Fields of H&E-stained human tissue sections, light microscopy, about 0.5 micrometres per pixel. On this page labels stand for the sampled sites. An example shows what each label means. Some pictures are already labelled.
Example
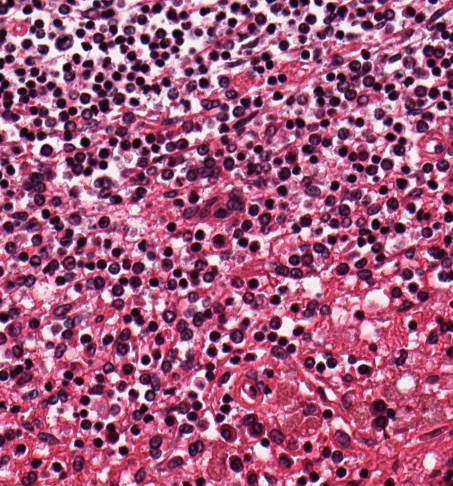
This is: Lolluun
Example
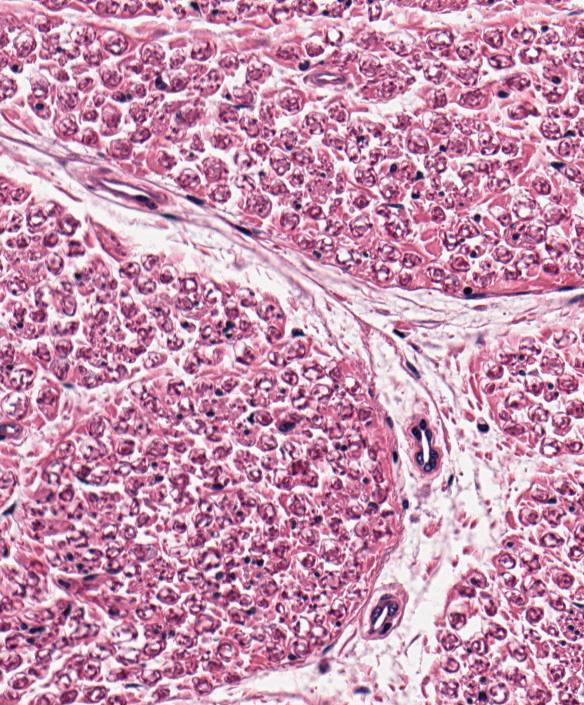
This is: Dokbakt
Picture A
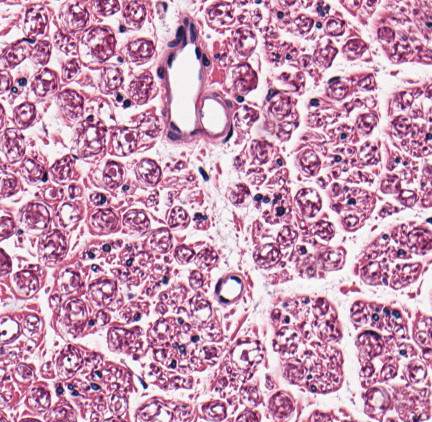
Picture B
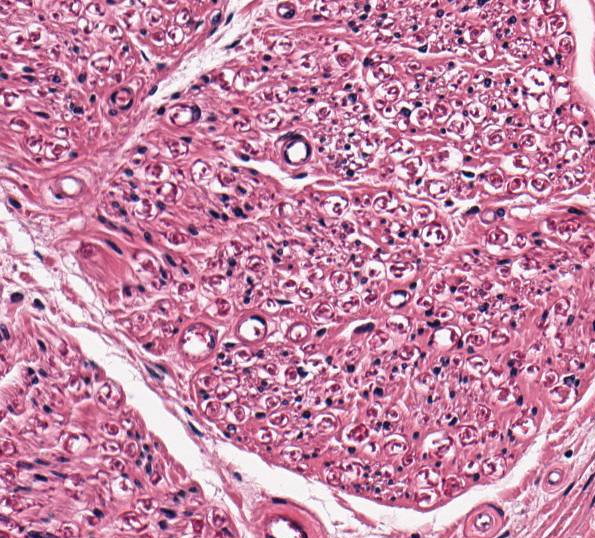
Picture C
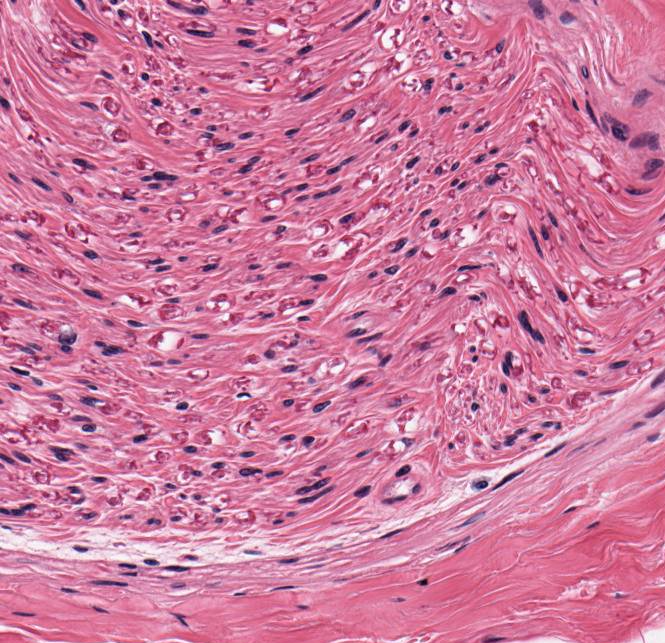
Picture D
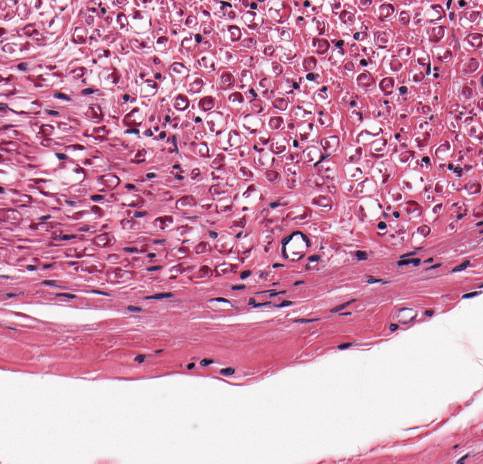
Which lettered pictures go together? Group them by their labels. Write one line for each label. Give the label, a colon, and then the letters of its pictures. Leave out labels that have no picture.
Dokbakt: A, B, C, D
